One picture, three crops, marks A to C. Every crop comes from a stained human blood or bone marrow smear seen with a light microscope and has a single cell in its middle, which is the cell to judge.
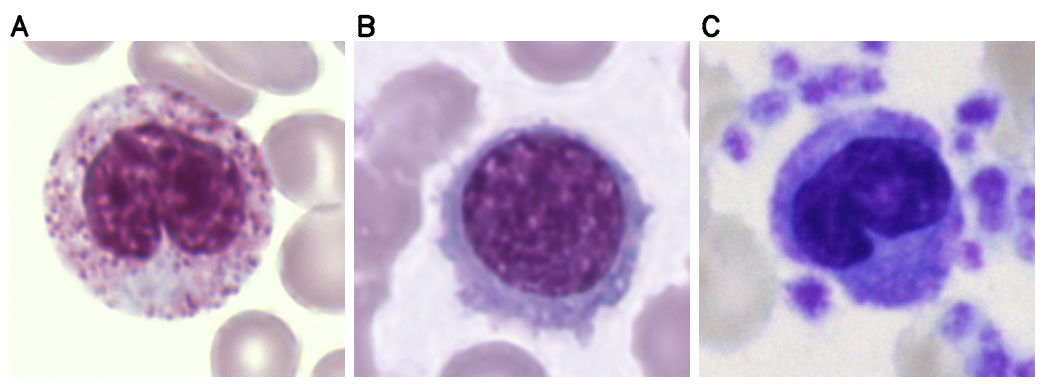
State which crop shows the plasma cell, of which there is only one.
B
